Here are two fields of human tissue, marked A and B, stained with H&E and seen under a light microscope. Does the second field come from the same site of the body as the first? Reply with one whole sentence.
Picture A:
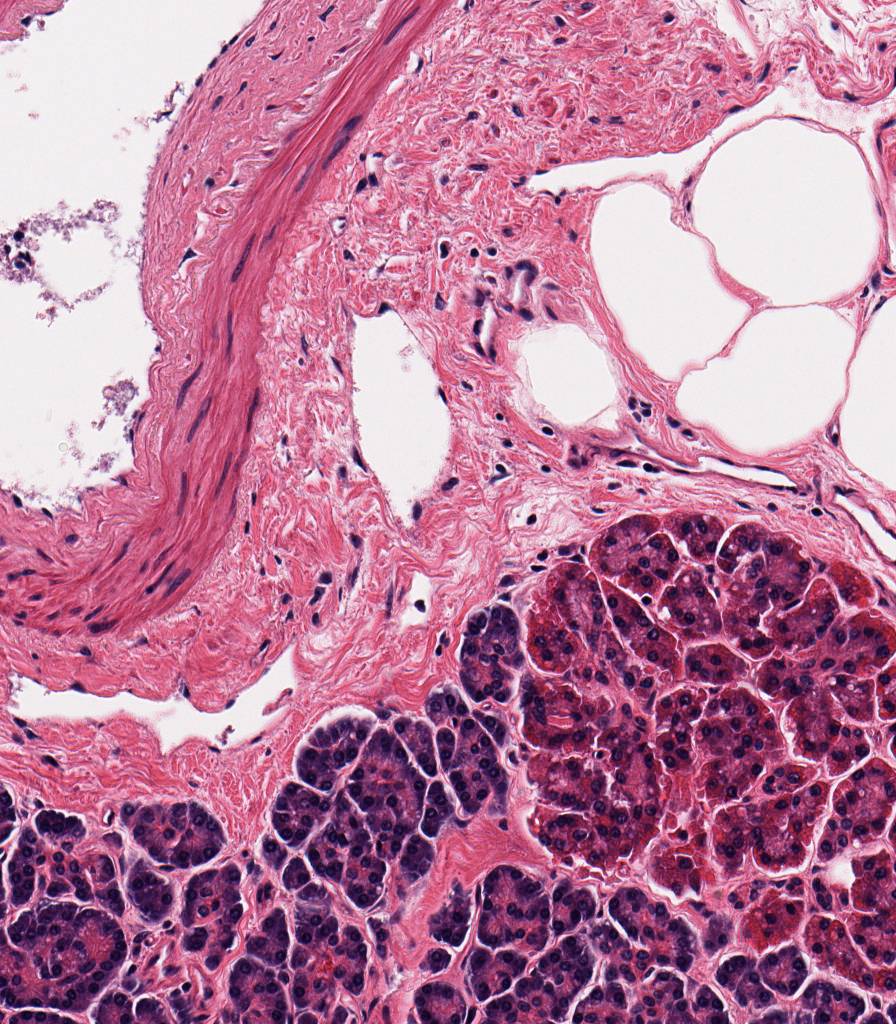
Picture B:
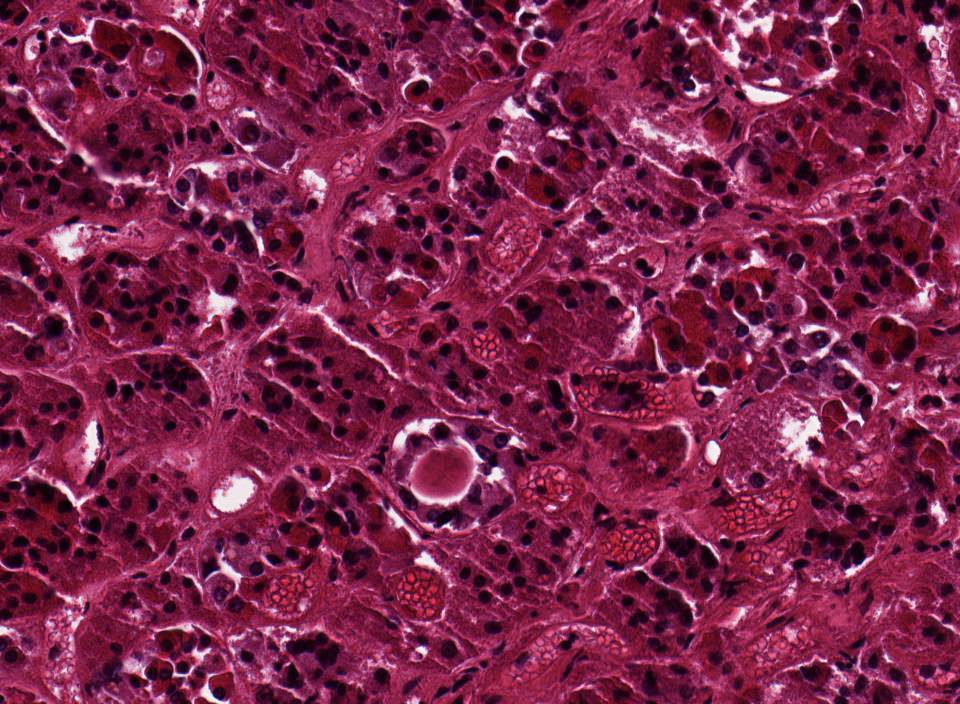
No: picture A comes from the pancreas, but picture B comes from the pituitary.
